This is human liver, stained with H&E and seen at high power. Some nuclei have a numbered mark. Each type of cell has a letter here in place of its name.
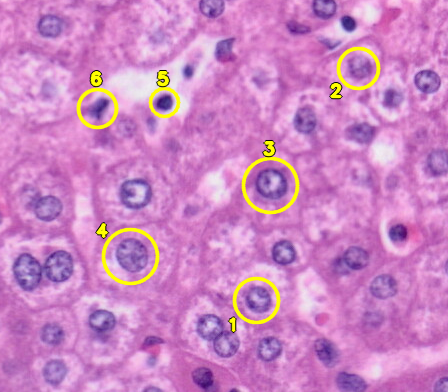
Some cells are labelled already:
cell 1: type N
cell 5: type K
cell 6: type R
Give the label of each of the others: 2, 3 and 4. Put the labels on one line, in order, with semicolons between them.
type N; type N; type N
